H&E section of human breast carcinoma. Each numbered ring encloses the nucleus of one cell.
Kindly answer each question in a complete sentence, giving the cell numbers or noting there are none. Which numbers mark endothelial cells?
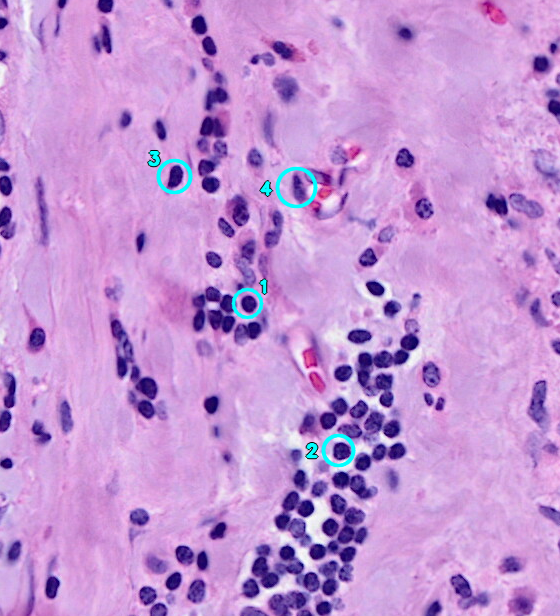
Only the nucleus marked 4 is that of an endothelial cell.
